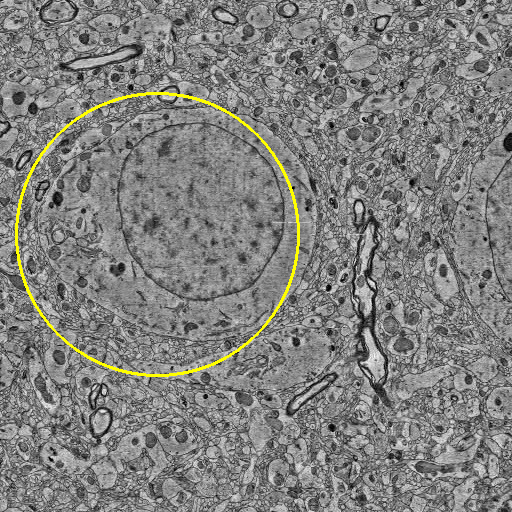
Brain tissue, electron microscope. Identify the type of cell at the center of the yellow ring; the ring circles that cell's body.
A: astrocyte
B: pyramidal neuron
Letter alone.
B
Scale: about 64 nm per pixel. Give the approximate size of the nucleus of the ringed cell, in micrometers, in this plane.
About 11 micrometers across, in this plane.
